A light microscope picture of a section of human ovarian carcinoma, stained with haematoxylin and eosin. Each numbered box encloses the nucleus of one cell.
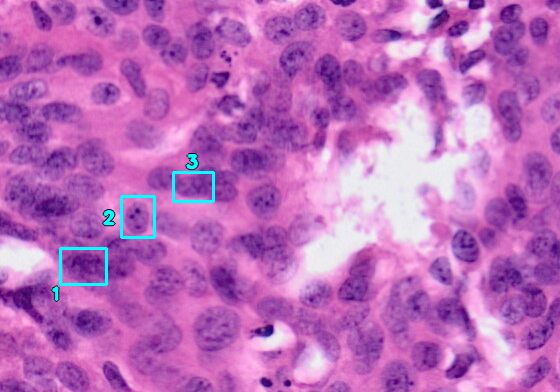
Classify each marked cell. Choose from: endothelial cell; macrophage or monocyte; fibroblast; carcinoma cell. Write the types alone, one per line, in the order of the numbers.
carcinoma cell
macrophage or monocyte
carcinoma cell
